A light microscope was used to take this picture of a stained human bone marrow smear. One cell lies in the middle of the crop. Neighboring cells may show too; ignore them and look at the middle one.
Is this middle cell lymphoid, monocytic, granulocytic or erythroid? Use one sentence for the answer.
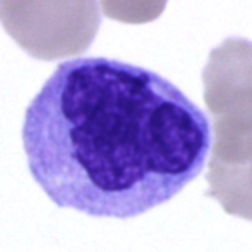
The cell that sits at the center is attributed to the monocytic lineage.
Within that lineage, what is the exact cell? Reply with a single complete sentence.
By type, the central cell of the crop is a monocyte.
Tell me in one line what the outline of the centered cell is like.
Worth noting that the cell border is smooth and lacks projections.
